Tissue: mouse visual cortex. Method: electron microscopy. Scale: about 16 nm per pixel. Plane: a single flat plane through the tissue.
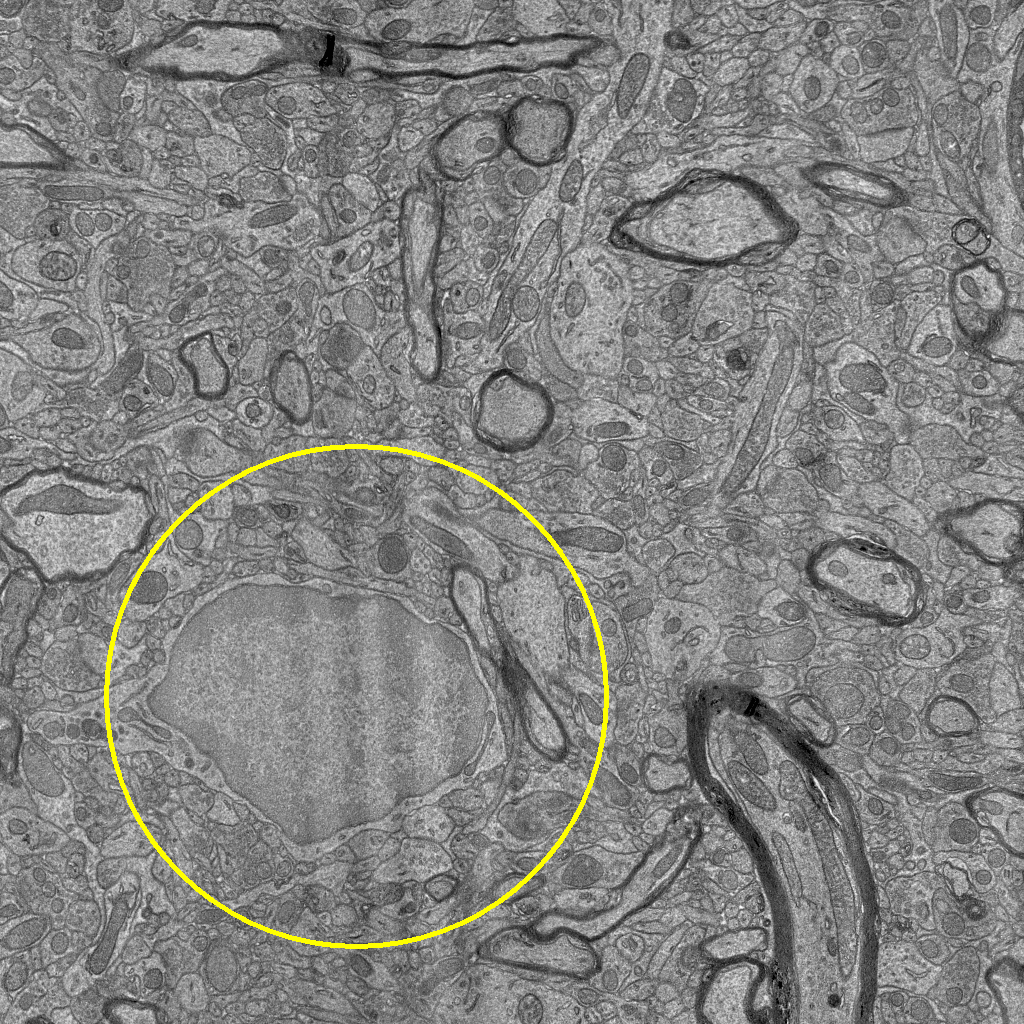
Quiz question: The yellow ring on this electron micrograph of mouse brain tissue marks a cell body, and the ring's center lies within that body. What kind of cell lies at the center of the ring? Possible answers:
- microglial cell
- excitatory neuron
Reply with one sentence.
The ring's center lies on a microglial cell.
